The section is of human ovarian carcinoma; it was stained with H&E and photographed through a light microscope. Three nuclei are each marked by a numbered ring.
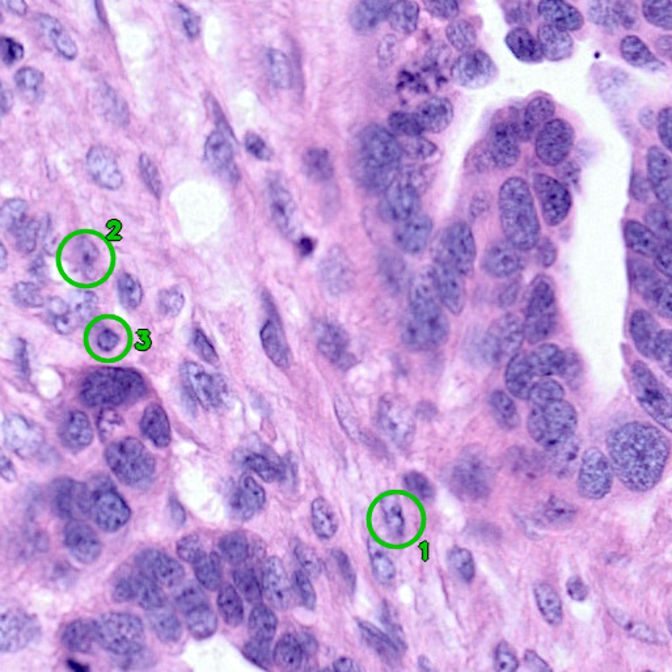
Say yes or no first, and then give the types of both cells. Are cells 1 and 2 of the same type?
Yes, cells 1 and 2 are of one type, both being fibroblasts.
